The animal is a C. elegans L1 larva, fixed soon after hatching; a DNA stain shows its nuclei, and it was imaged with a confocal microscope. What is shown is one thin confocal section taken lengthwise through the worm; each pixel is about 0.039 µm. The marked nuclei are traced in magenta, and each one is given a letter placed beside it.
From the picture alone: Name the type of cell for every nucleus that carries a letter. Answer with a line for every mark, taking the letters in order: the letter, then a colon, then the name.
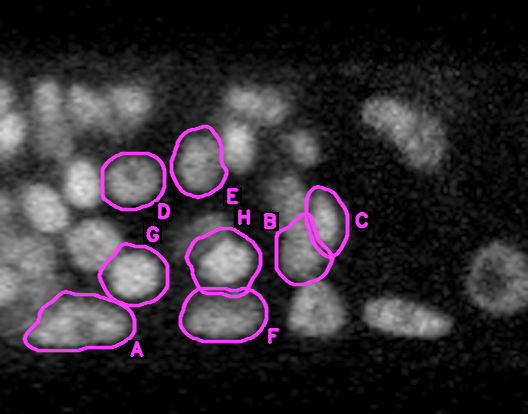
A: body wall muscle cell
B: valve cell of the gut
C: valve cell of the gut
D: pharyngeal muscle cell
E: pharyngeal muscle cell
F: body wall muscle cell
G: neuron
H: neuron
